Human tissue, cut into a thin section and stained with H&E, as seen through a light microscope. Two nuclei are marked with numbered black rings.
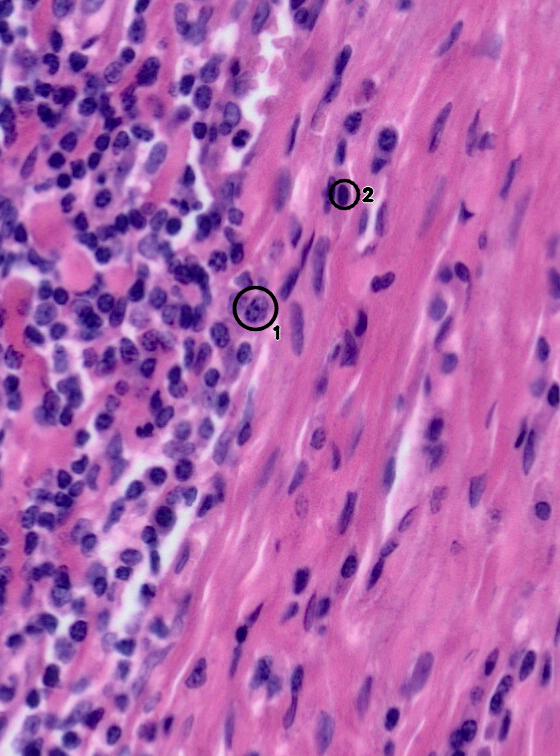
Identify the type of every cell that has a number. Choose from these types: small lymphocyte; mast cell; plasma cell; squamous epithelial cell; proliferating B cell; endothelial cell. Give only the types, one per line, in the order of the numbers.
plasma cell
mast cell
